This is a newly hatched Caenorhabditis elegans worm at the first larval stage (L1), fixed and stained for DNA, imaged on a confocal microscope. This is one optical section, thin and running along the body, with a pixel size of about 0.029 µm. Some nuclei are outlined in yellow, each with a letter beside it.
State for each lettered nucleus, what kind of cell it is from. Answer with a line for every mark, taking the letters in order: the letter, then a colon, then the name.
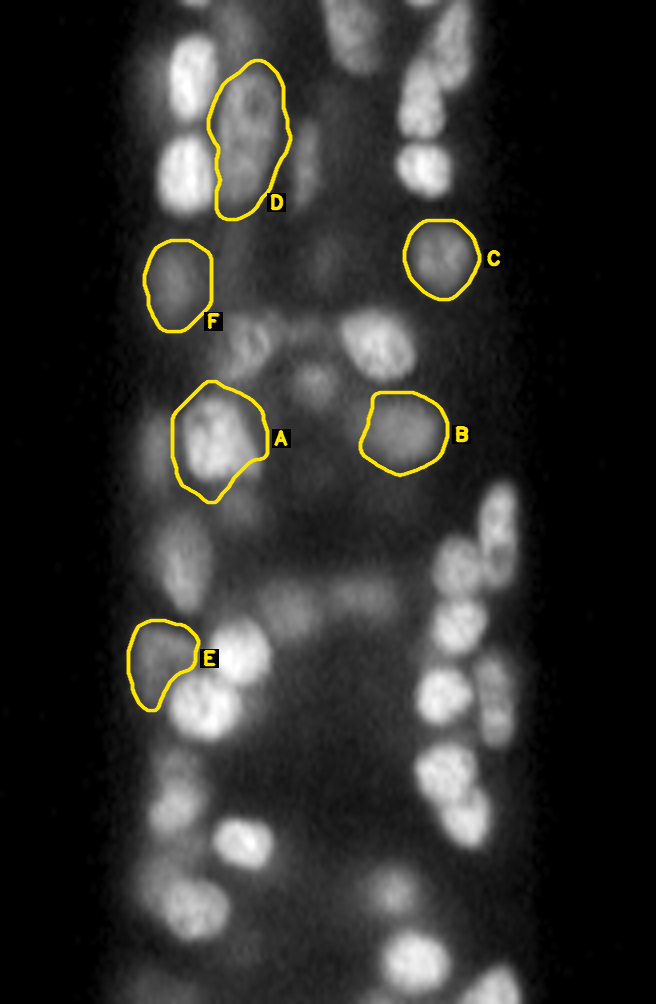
A: pharyngeal muscle cell
B: pharyngeal muscle cell
C: hypodermal cell (hyp)
D: pharyngeal muscle cell
E: hypodermal cell (hyp)
F: hypodermal cell (hyp)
